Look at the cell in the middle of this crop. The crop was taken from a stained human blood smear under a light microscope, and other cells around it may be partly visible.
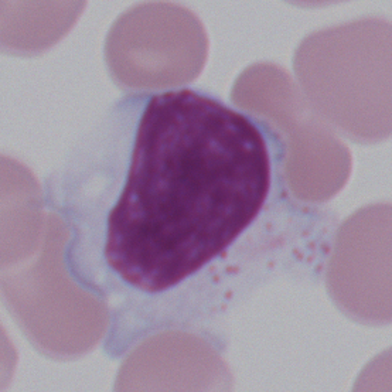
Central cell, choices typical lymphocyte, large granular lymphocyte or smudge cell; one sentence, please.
Classification of the middle cell gives a large granular lymphocyte.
